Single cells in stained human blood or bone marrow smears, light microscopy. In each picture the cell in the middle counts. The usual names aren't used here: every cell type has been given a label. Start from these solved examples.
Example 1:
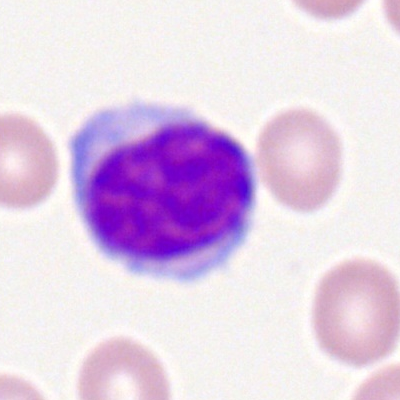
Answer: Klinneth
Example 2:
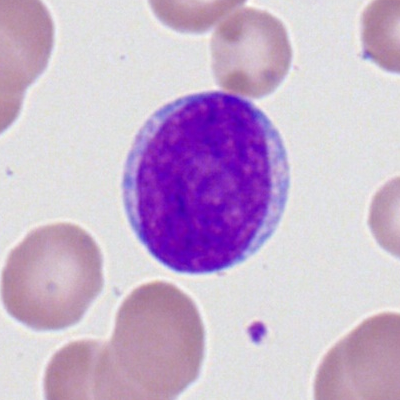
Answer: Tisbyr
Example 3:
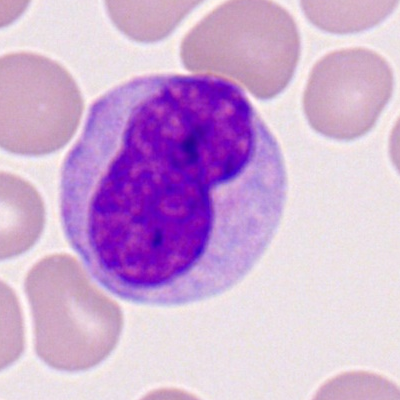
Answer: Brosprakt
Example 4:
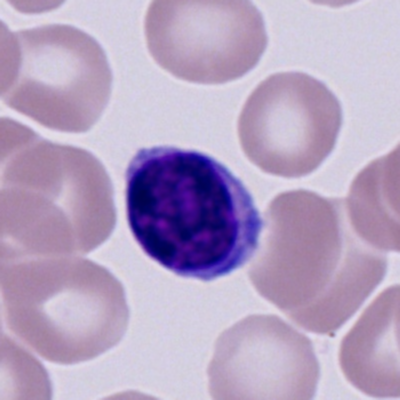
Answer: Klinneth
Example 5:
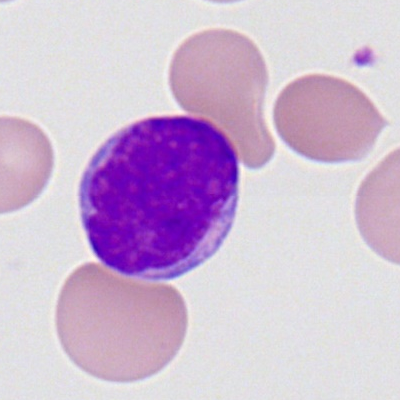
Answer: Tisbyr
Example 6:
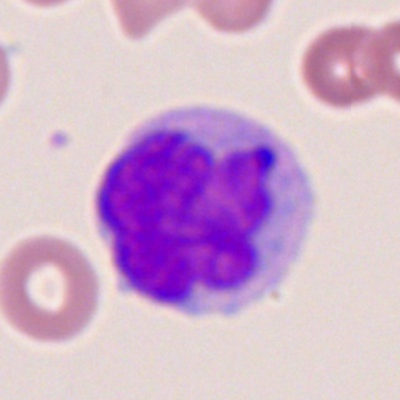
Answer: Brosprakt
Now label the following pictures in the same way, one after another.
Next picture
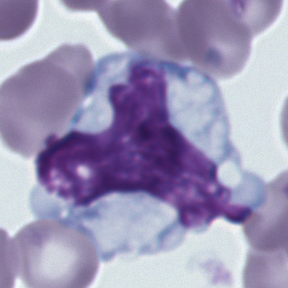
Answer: Brosprakt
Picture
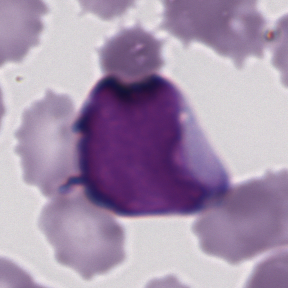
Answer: Tisbyr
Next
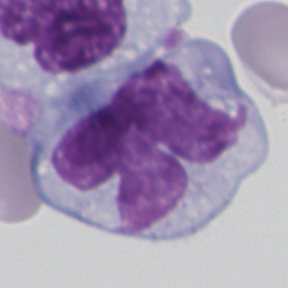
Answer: Brosprakt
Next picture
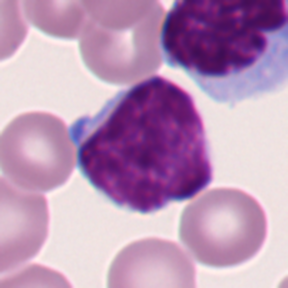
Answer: Klinneth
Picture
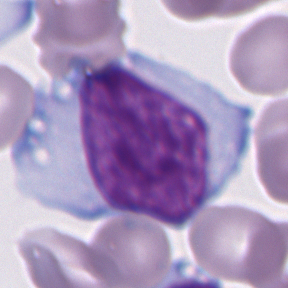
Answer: Tisbyr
